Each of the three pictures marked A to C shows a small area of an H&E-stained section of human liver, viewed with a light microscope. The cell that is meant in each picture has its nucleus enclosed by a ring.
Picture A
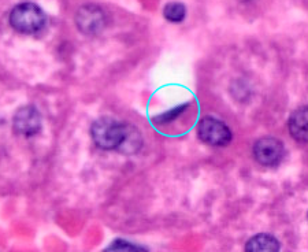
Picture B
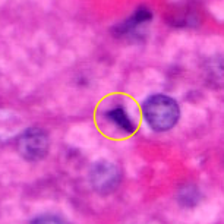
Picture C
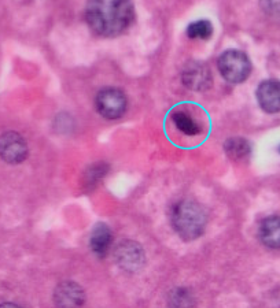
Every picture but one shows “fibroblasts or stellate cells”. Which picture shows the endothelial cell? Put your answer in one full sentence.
Picture A shows the endothelial cell.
